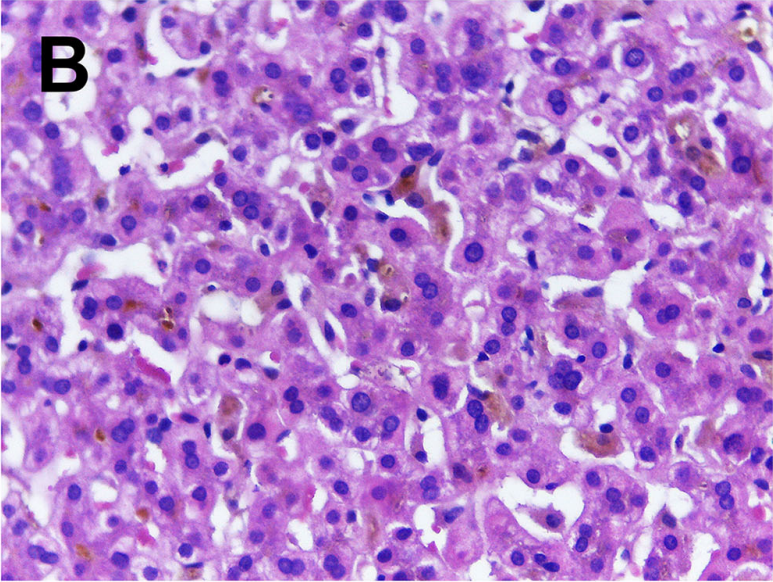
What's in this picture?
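Large polygonal liver cells with plentiful pink, finely granular cytoplasm fill the field, each with a round central nucleus and a small nucleolus, a few holding two nuclei. The cells lie in plates separated by narrow, irregular clear sinusoidal spaces lined by flattened, dark, elongated nuclei. Scattered through many cells are yellow-brown pigment granules and droplets, and a few clumps of the same brown material sit between neighbouring cells. Some cells look slightly swollen with paler, feathery cytoplasm. This is hepatocyte cholestasis, with bile retained in the cells and bile plugs forming in the canaliculi.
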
